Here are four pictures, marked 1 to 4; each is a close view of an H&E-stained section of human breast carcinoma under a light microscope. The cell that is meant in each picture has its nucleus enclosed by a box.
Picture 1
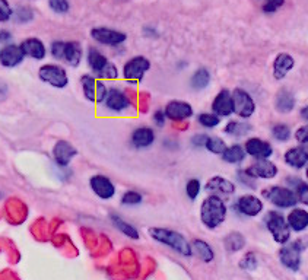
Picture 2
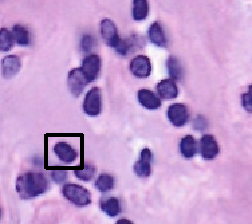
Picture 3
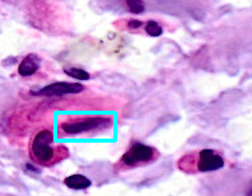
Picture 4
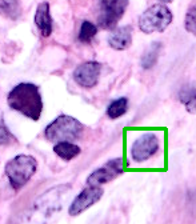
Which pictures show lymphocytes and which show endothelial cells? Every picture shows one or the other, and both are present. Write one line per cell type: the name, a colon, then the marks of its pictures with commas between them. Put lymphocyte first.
lymphocyte: 1, 2, 4
endothelial cell: 3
